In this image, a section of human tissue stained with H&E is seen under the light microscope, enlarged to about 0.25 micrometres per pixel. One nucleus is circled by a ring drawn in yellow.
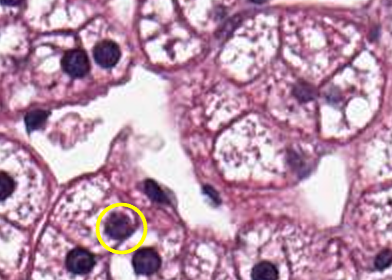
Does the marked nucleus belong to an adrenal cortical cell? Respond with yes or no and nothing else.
yes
